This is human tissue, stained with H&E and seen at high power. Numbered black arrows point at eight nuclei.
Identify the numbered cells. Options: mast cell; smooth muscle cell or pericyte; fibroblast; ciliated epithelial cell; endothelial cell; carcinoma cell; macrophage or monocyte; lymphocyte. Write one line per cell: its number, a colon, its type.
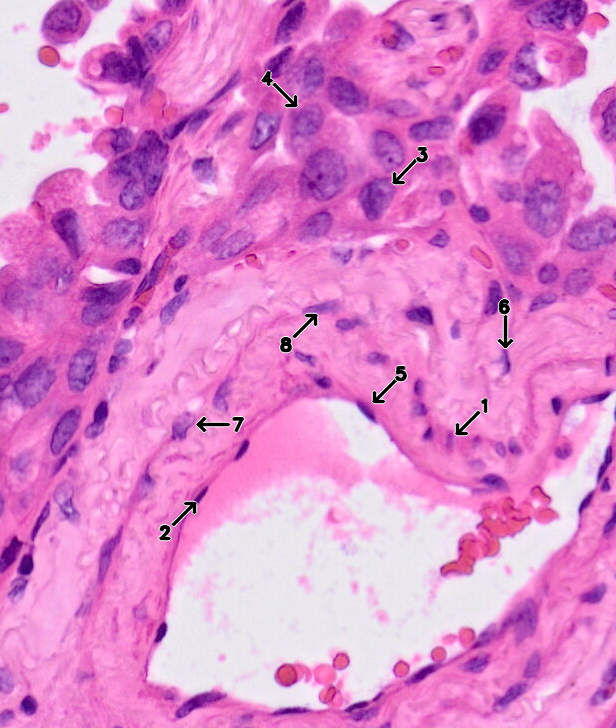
1: smooth muscle cell or pericyte
2: endothelial cell
3: carcinoma cell
4: carcinoma cell
5: endothelial cell
6: fibroblast
7: smooth muscle cell or pericyte
8: smooth muscle cell or pericyte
